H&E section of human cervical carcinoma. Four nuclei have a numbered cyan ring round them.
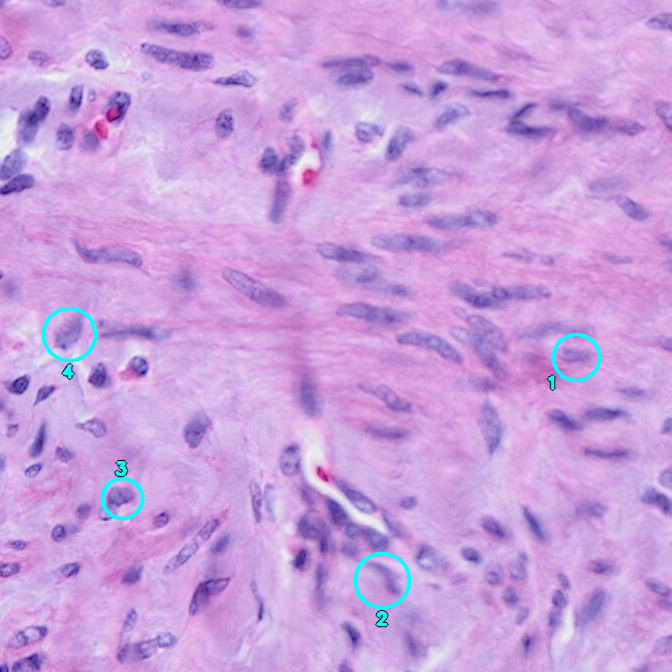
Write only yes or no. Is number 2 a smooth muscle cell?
no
